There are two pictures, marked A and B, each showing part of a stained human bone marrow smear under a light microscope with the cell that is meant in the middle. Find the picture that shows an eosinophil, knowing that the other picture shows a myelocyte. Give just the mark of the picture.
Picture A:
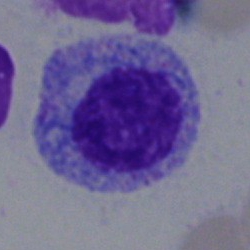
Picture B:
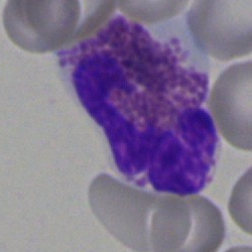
B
